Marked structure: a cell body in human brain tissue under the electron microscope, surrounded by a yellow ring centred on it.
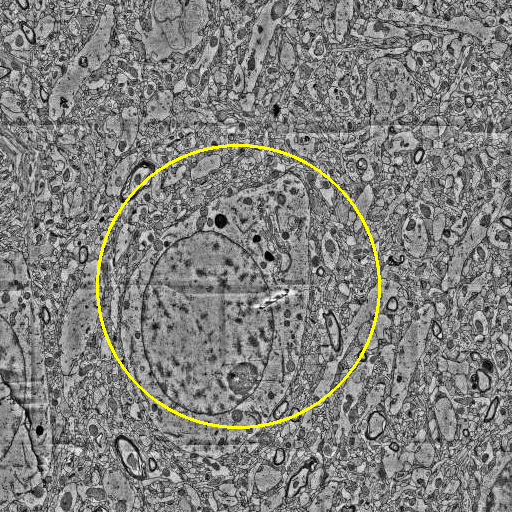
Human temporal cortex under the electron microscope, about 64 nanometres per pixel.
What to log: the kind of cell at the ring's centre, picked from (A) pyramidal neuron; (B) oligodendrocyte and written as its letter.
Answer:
A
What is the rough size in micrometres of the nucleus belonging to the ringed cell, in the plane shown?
In this plane, approximately 12 by 9 micrometers.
